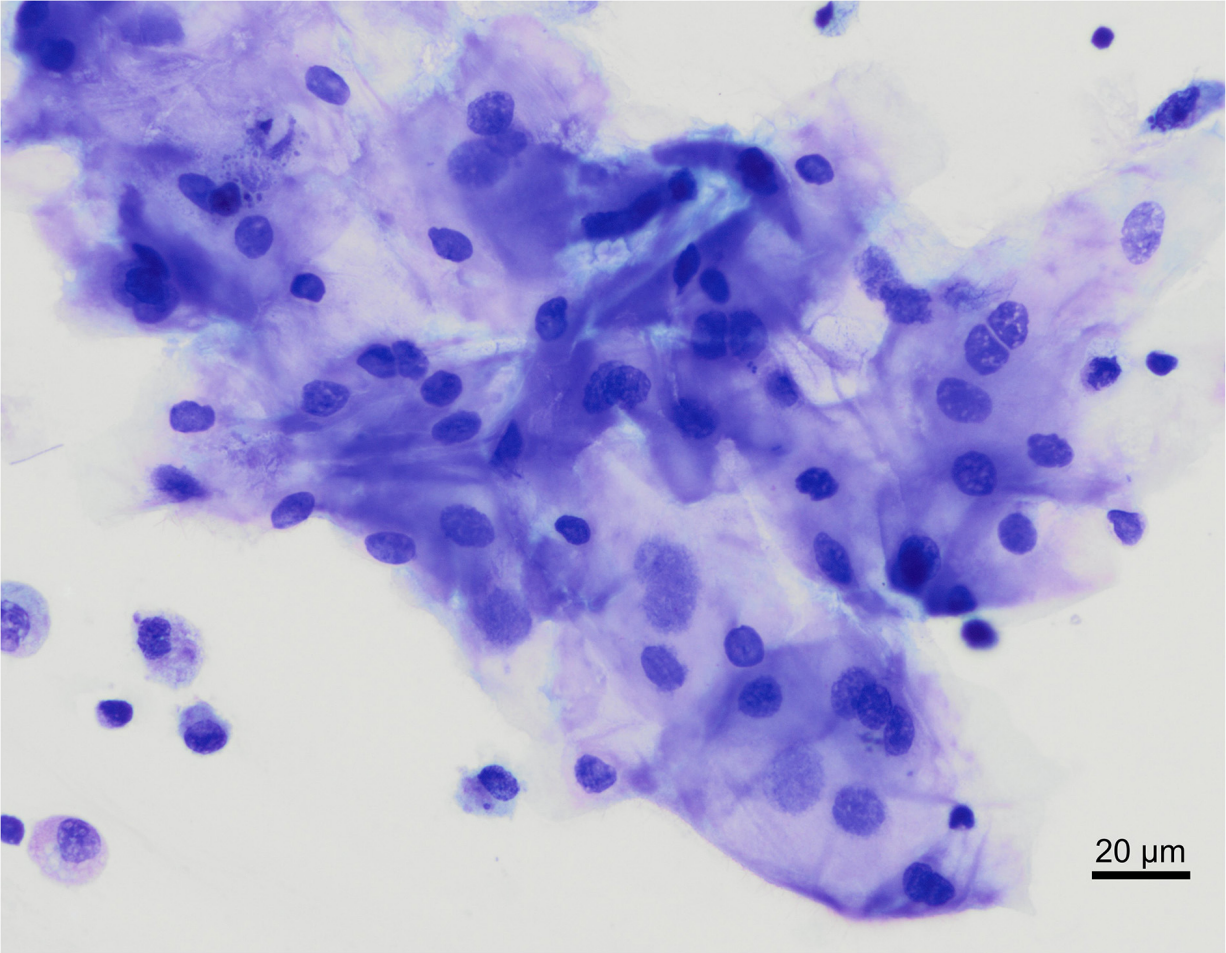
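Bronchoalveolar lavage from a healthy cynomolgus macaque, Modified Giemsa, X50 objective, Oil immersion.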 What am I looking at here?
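In the middle of the image lies a raft of squamous epithelial cells: a large, cohesive sheet of flat, polygonal cells with abundant pale purple to lilac cytoplasm whose edges fold and overlap. At the lower left, apart from the sheet, lie scattered single round cells: macrophages with a moderate rim of pale cytoplasm around an eccentric nucleus, and small lymphocytes with a dense, dark round nucleus and very little cytoplasm.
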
